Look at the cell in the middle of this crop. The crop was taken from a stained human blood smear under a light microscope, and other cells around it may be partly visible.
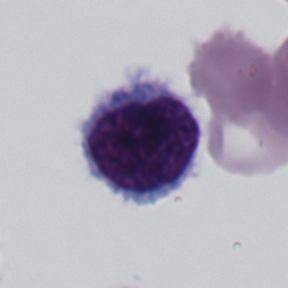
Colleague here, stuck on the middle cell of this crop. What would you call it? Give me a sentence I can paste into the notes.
Looking at the middle of the crop, the cell there is a hairy cell.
